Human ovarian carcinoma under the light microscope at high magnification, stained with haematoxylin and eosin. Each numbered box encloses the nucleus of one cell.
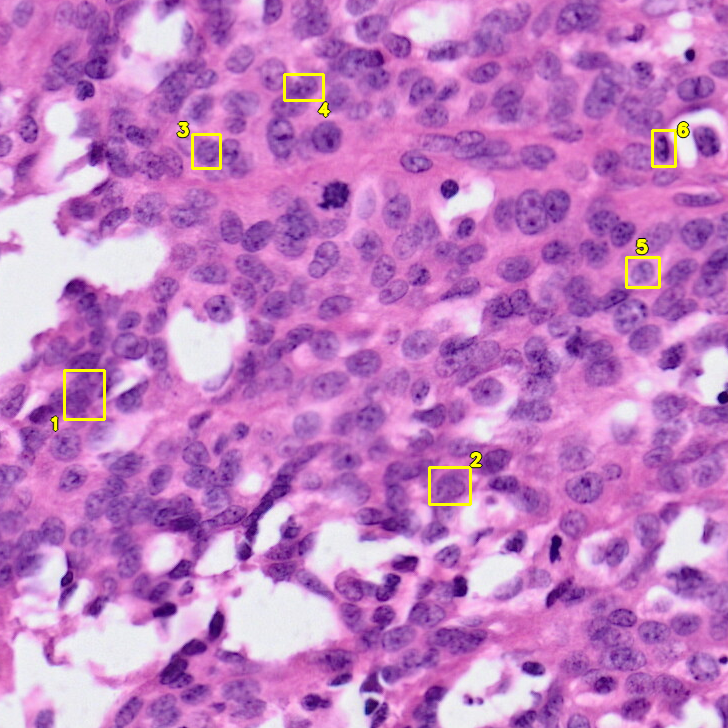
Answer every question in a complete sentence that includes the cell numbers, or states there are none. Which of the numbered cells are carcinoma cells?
The cells 1, 2, 3 and 4 in this section are carcinoma cells.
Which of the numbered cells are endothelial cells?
Among the numbered cells, there are no endothelial cells.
